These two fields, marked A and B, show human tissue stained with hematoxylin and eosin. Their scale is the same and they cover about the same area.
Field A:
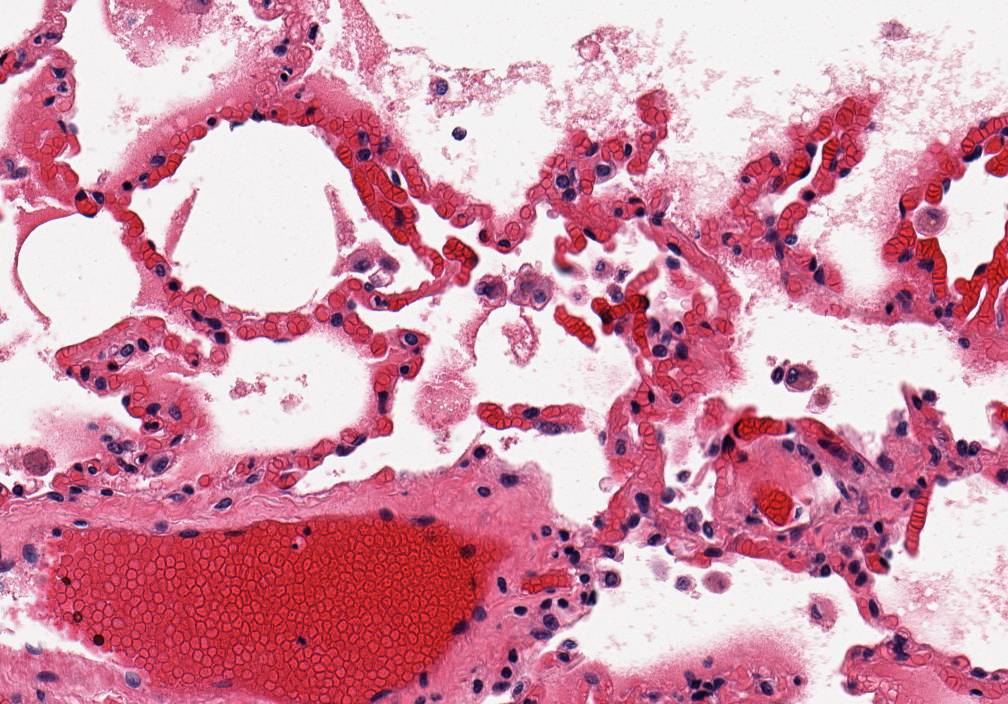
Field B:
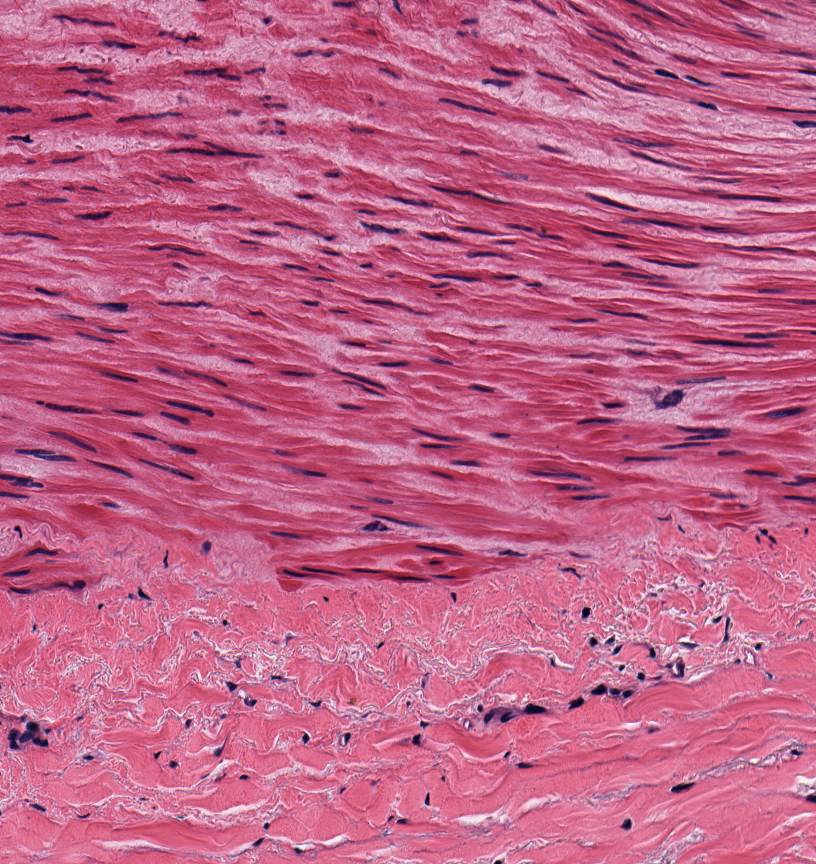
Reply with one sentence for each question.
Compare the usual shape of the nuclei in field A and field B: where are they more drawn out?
It is field B whose nuclei are the more elongated.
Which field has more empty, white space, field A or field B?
Unstained space takes up more of field A than of field B.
